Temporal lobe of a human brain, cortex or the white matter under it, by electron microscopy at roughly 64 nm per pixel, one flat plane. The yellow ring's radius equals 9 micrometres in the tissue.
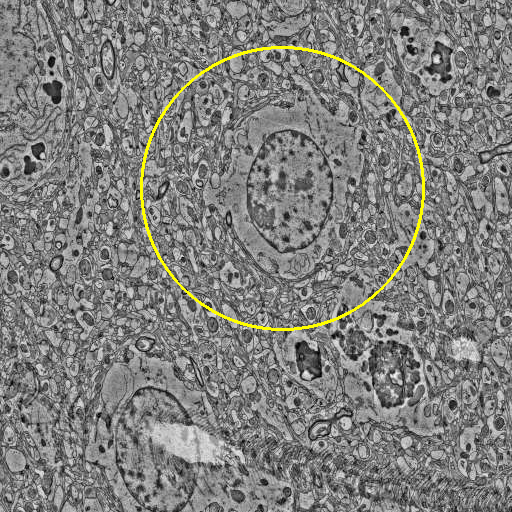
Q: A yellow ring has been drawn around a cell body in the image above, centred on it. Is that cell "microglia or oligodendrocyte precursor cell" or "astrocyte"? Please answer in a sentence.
The ring surrounds the cell body of an astrocyte.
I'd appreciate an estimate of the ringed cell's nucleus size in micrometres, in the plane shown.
In this plane the nucleus measures roughly 8 by 5 micrometers.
